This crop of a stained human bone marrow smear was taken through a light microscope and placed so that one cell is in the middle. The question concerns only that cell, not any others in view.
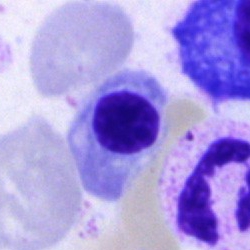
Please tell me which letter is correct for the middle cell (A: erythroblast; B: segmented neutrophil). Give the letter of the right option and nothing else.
A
